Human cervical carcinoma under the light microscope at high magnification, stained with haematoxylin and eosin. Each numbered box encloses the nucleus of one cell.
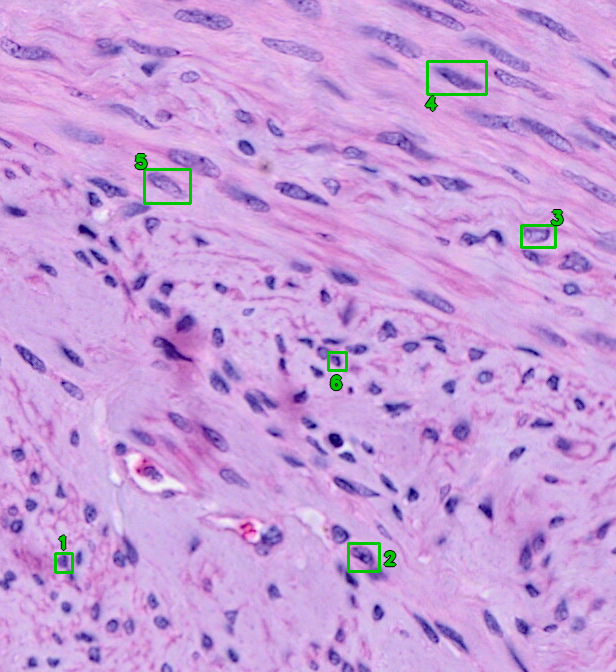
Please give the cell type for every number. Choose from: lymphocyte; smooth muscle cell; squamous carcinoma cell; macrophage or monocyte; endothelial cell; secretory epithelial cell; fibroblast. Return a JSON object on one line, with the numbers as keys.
{"1": "smooth muscle cell", "2": "endothelial cell", "3": "smooth muscle cell", "4": "fibroblast", "5": "smooth muscle cell", "6": "smooth muscle cell"}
